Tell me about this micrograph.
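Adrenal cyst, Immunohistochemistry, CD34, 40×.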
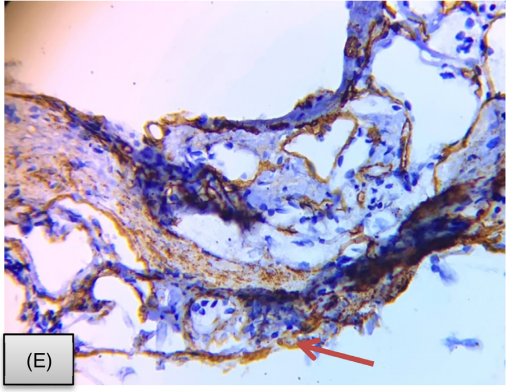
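Thin walls lined by flattened cells surround open, empty spaces, and the lining layer and small vessels around it carry a brown stain against a blue counterstain. The brown outlines the walls of many small channels, while the nuclei in the loose tissue between stay blue.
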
